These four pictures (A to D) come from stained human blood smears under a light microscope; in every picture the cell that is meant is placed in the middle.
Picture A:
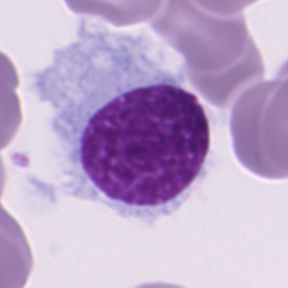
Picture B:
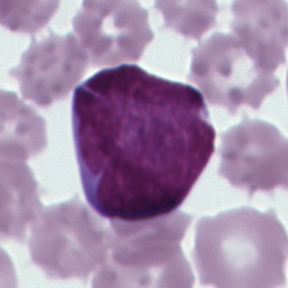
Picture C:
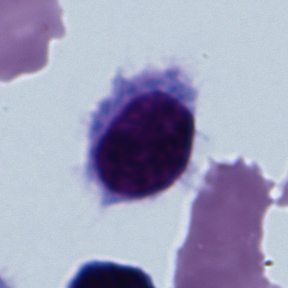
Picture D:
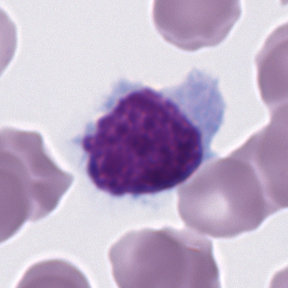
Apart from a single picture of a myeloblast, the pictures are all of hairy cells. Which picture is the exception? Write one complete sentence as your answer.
Picture B shows the myeloblast.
